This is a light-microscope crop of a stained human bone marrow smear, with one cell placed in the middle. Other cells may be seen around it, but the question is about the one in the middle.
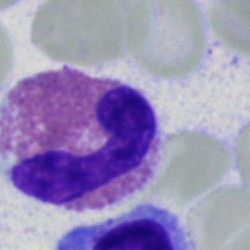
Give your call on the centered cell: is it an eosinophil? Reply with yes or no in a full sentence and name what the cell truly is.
Yes, the cell of interest in the centre is an eosinophil.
